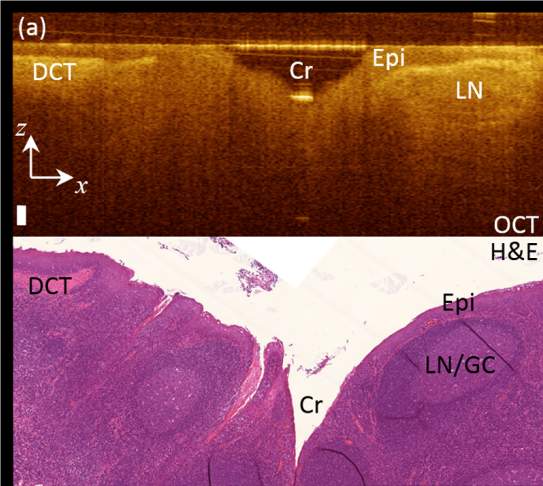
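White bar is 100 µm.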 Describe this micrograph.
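The lower image is a stained tissue section split by a deep, narrow V-shaped crypt that opens at the surface. On both sides a thin purple epithelium covers the surface, with pinker dense connective tissue beneath it at the upper left. Below lie rounded lymphoid nodules crowded with small dark purple cells, some with a paler centre. The upper grayscale-amber scan shows the crypt as a dark triangular notch in the bright surface, flanked by bright tissue.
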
